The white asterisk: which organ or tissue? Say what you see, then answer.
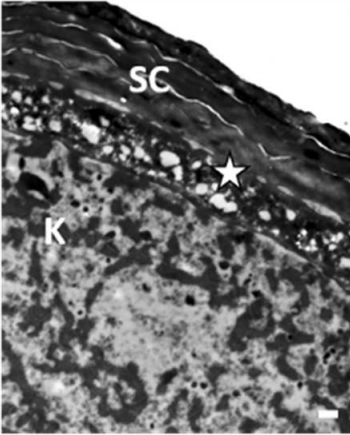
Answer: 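Stratum granulosum. The asterisk lies in the layer just beneath the dark flattened surface layers. This layer contains many small round pale inclusions.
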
